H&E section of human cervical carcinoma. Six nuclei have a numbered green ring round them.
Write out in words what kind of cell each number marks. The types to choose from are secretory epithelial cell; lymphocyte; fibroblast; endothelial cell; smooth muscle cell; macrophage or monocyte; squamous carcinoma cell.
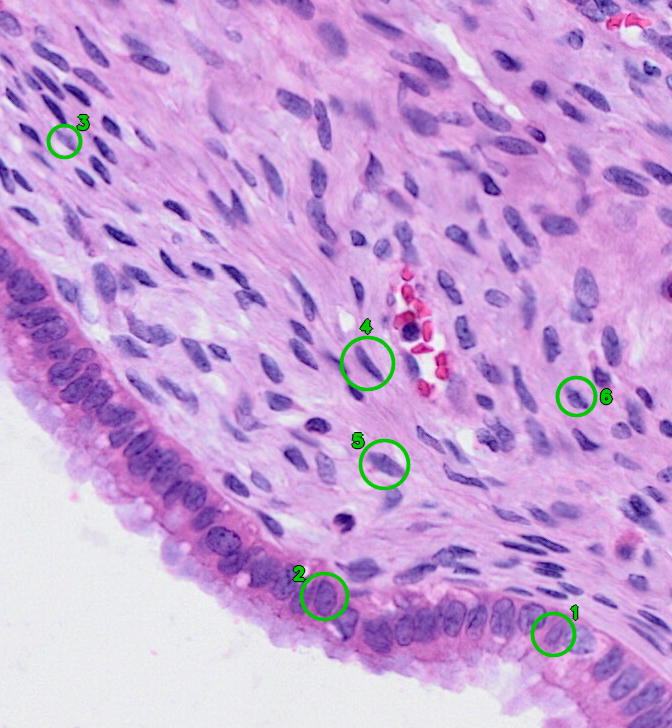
Cells 1 and 2 are secretory epithelial cells. Cells 3, 4, 5 and 6 are fibroblasts.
